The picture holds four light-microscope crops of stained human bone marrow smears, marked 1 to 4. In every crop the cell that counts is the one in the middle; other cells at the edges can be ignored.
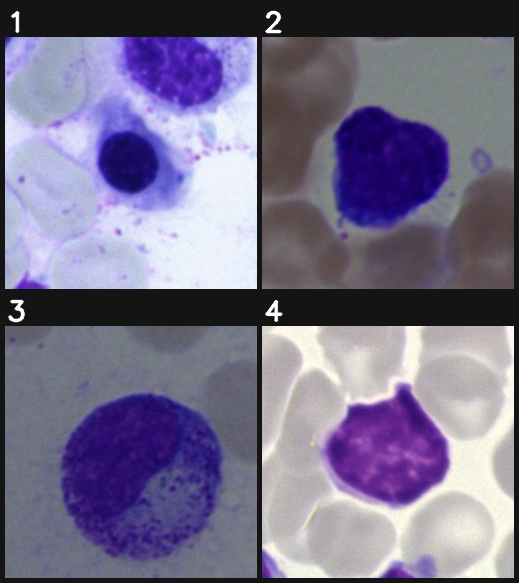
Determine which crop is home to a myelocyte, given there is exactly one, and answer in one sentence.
In this series, a myelocyte is shown by crop 3.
